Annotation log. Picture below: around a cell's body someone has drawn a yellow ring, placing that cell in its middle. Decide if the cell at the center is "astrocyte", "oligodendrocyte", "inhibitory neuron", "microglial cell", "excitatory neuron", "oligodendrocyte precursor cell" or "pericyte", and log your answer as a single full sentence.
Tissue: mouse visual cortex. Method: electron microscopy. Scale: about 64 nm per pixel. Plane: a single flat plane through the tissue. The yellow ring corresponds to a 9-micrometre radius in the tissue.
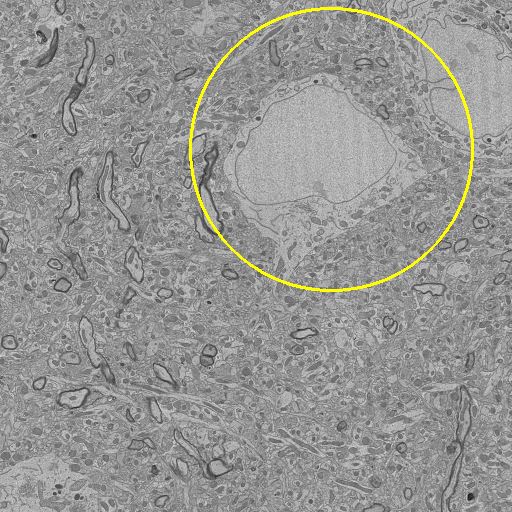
My entry records an excitatory neuron as the cell sitting at the center of the yellow ring.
